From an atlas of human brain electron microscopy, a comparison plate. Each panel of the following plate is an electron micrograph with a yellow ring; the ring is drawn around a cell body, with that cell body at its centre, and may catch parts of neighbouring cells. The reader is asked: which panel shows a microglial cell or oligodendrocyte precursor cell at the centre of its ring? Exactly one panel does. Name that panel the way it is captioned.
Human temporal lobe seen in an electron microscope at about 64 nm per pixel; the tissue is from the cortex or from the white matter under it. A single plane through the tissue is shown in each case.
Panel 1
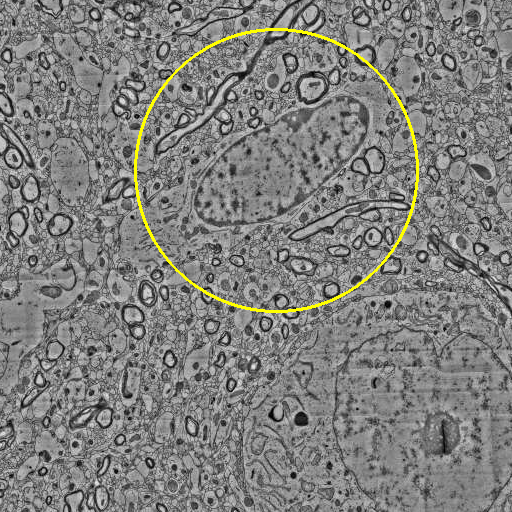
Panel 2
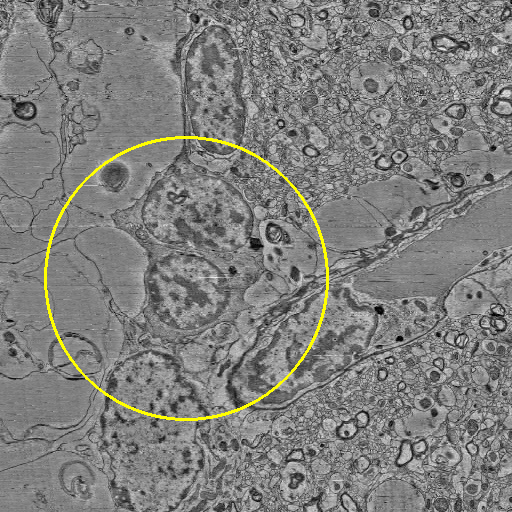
Panel 1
